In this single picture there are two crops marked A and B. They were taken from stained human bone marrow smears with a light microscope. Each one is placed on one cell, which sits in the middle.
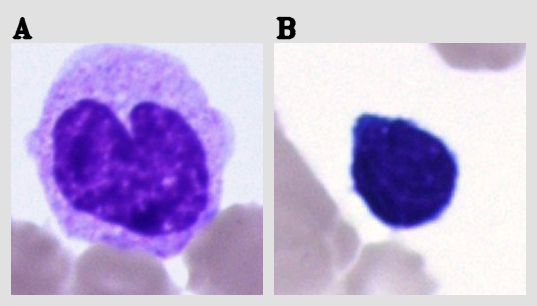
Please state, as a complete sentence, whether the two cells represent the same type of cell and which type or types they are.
No, the cell at the middle of crop A is a monocyte, while crop B centres on a lymphocyte.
